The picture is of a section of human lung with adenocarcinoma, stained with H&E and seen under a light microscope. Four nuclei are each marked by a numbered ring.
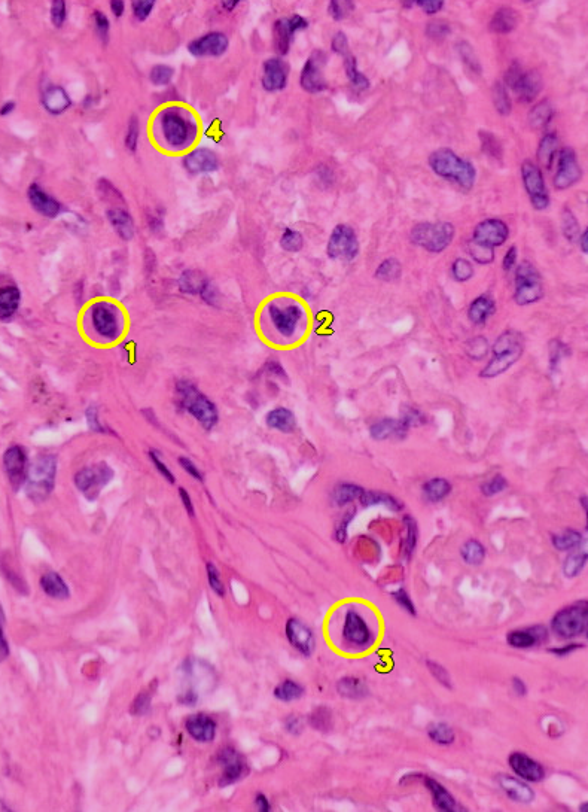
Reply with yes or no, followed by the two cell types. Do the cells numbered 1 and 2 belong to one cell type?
No, cell 1 is a plasma cell and cell 2 is a lymphocyte.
